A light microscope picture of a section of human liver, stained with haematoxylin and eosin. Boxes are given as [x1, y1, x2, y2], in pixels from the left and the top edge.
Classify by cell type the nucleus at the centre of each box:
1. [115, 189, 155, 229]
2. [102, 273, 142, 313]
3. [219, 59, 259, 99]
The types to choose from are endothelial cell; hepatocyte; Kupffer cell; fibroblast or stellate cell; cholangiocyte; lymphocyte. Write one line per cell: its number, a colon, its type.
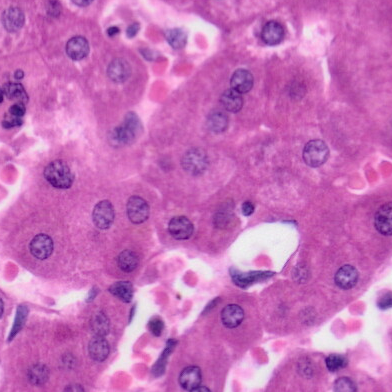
1: hepatocyte
2: fibroblast or stellate cell
3: hepatocyte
